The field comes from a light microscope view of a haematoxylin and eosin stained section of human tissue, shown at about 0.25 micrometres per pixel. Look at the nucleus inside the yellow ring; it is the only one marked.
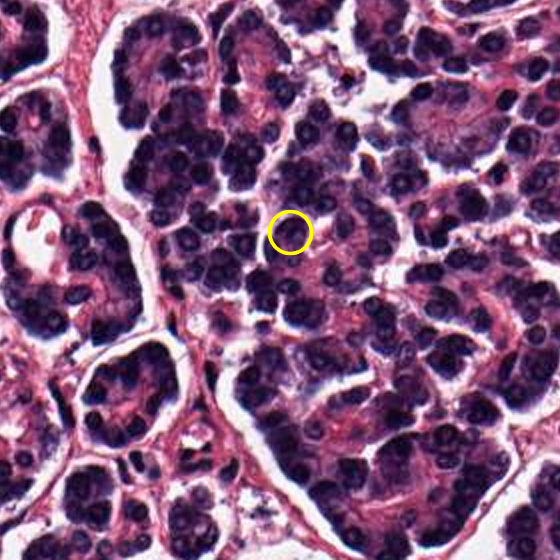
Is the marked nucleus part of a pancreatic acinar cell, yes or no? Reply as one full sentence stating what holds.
Yes, the marked nucleus represents the nucleus of a pancreatic acinar cell.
